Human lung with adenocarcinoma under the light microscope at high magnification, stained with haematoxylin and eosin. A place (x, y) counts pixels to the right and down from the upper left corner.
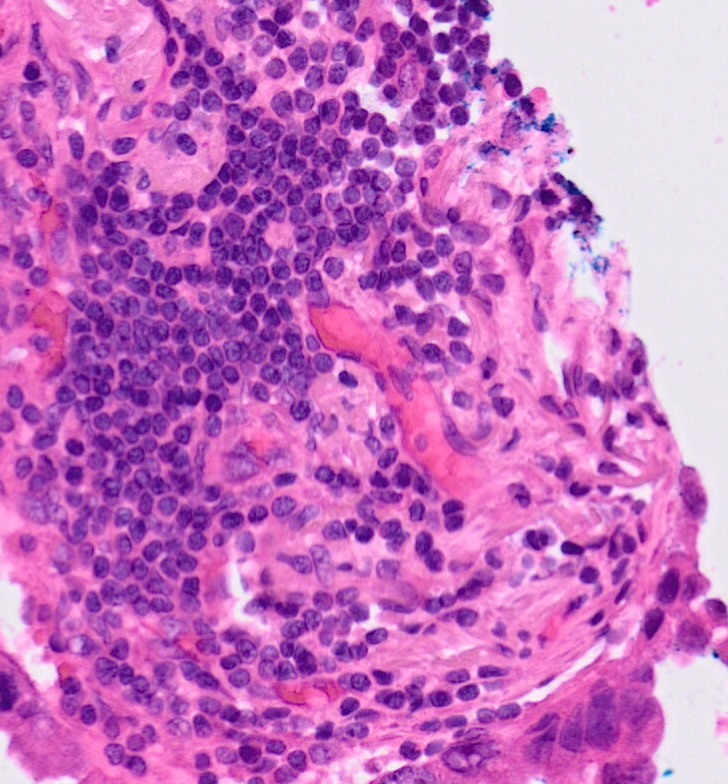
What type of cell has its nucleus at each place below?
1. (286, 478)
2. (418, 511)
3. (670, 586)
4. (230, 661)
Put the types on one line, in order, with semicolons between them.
lymphocyte; lymphocyte; carcinoma cell; lymphocyte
